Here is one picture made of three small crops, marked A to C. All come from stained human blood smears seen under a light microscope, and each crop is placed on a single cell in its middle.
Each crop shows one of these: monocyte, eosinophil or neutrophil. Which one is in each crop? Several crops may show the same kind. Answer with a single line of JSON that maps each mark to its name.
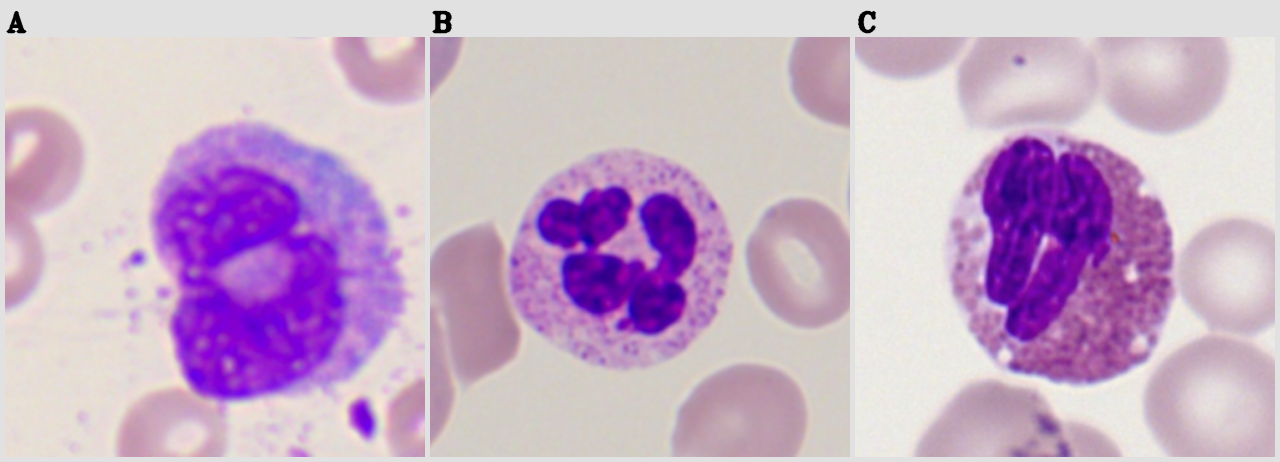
{"A": "monocyte", "B": "neutrophil", "C": "eosinophil"}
